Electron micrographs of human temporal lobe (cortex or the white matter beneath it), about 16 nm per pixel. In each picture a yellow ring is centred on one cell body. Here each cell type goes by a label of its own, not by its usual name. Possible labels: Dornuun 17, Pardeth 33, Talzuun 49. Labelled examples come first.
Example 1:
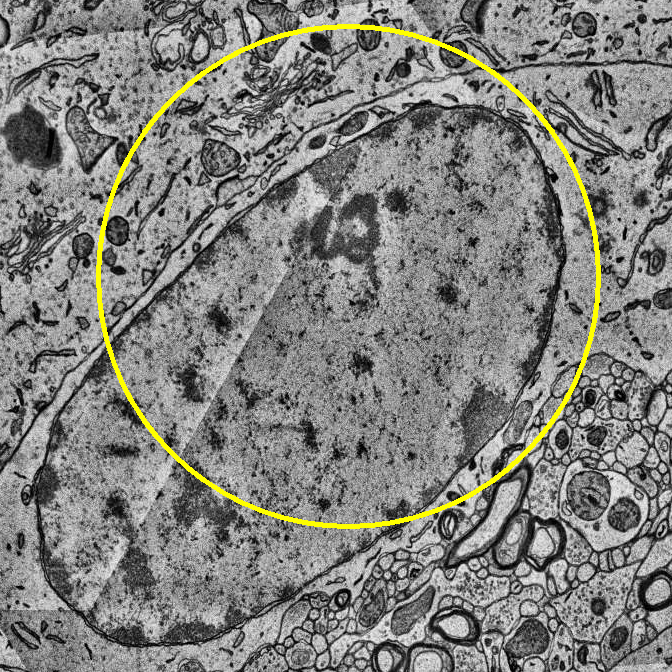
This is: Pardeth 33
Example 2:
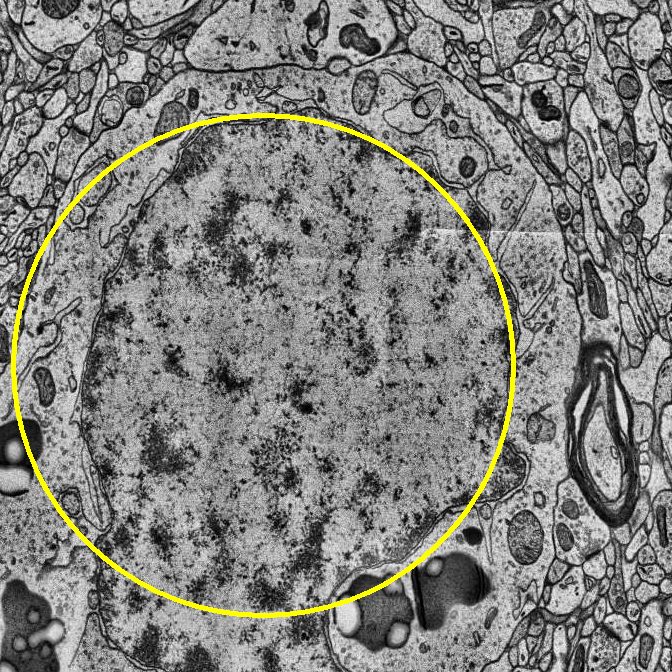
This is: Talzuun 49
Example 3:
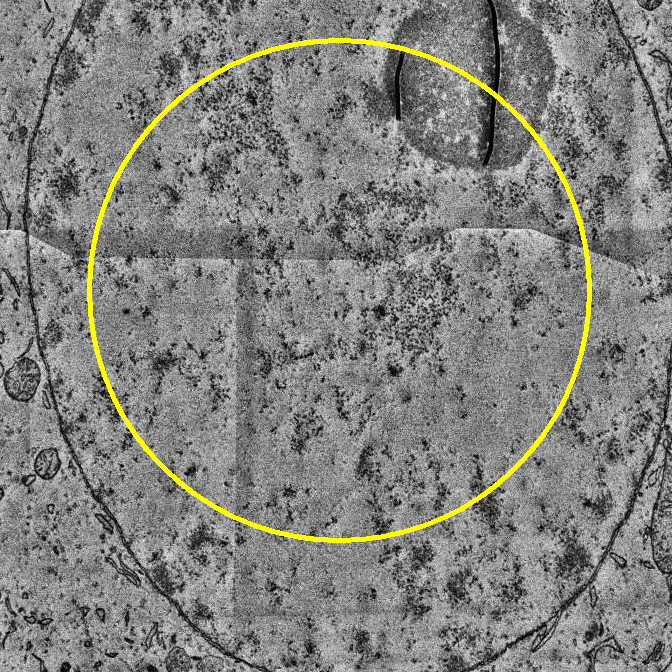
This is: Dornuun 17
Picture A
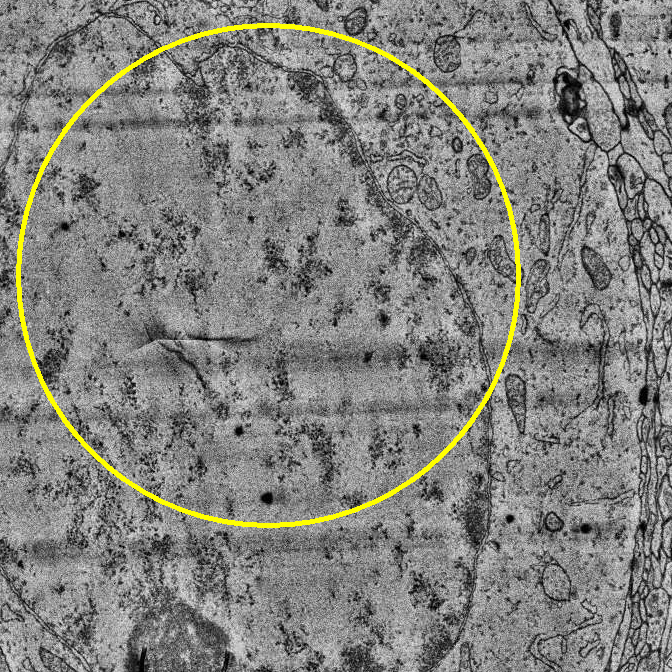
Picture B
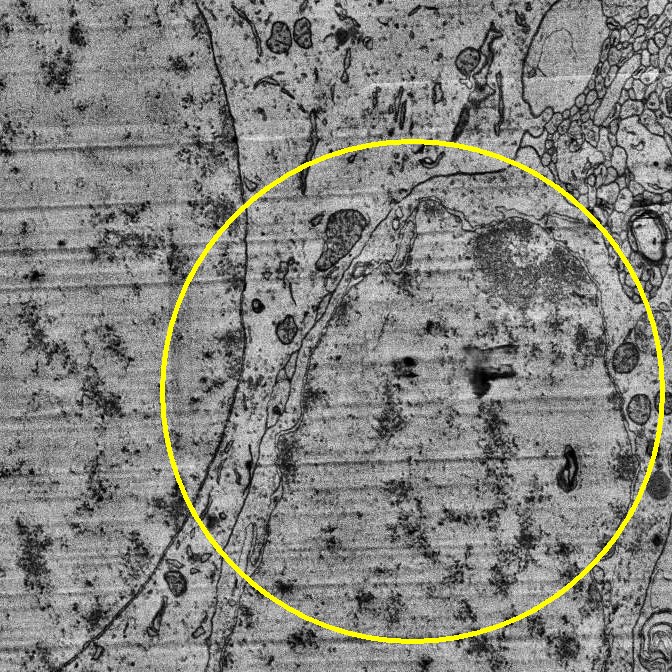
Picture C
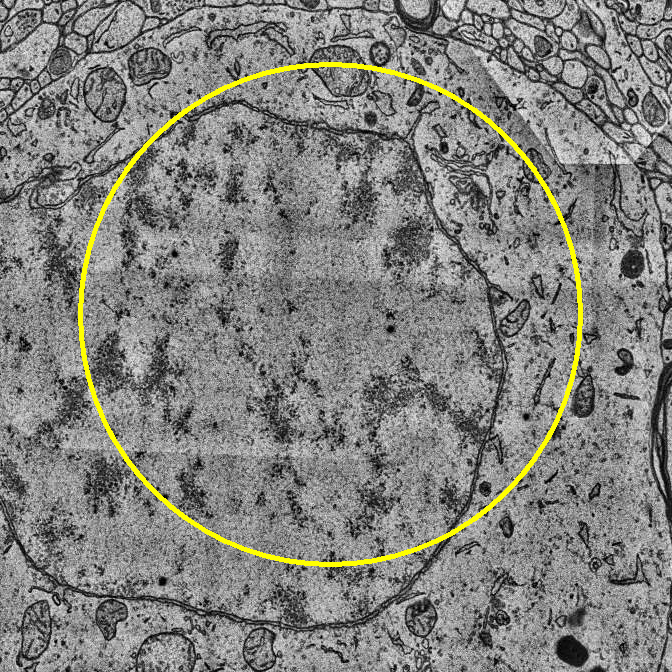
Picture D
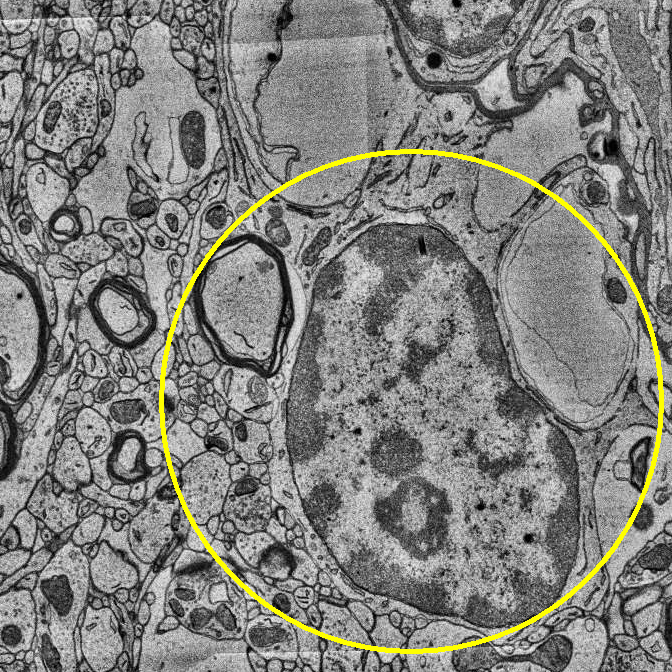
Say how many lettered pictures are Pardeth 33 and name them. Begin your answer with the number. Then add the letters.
1: D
